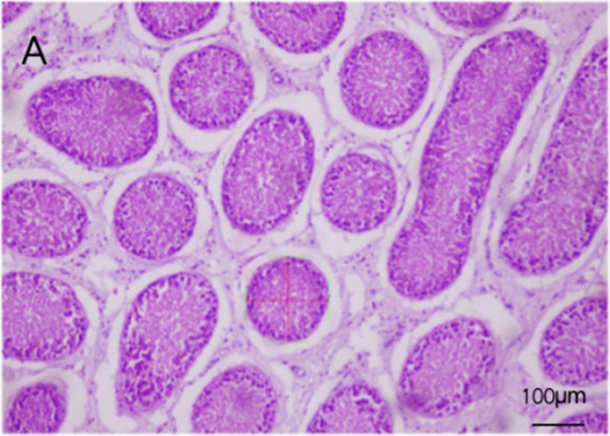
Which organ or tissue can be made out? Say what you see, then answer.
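Many round and elongated tubule profiles cut in cross and oblique section. Each tubule is filled with densely packed, purple-stained cells arranged in layers. Loose pale interstitial tissue lies between the tubules.
Hence: Testicular tissue.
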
